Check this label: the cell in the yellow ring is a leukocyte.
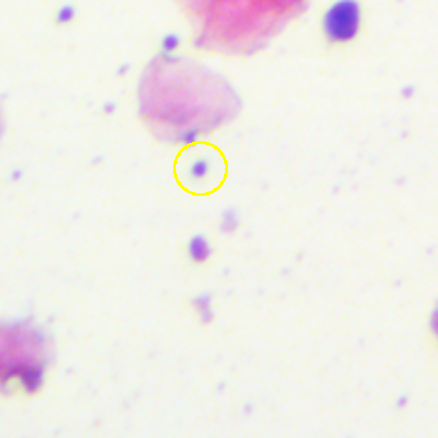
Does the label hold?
The label holds; the cell is a leukocyte.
